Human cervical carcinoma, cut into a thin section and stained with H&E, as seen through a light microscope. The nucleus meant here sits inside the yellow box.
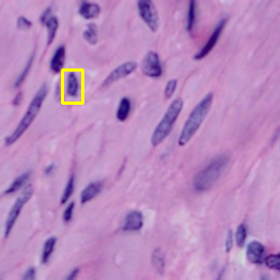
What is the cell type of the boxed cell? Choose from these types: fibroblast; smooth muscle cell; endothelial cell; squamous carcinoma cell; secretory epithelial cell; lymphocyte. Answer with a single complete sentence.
As far as its identity is concerned, the boxed cell is a fibroblast.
